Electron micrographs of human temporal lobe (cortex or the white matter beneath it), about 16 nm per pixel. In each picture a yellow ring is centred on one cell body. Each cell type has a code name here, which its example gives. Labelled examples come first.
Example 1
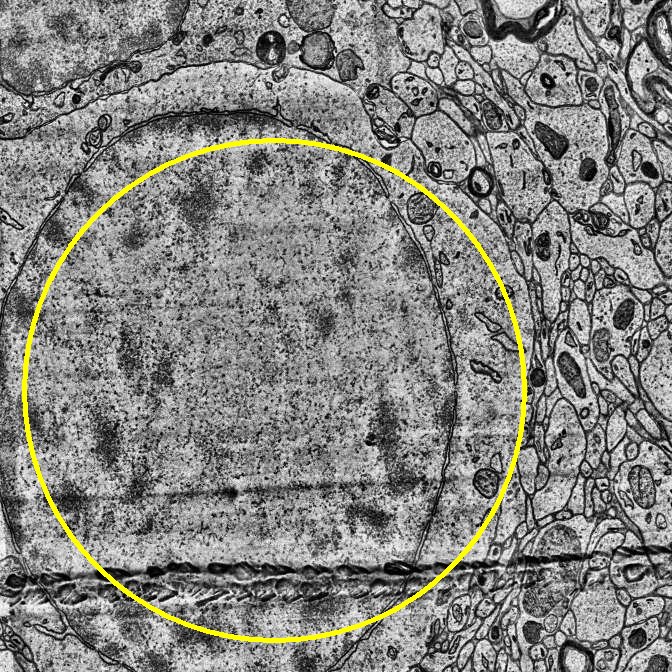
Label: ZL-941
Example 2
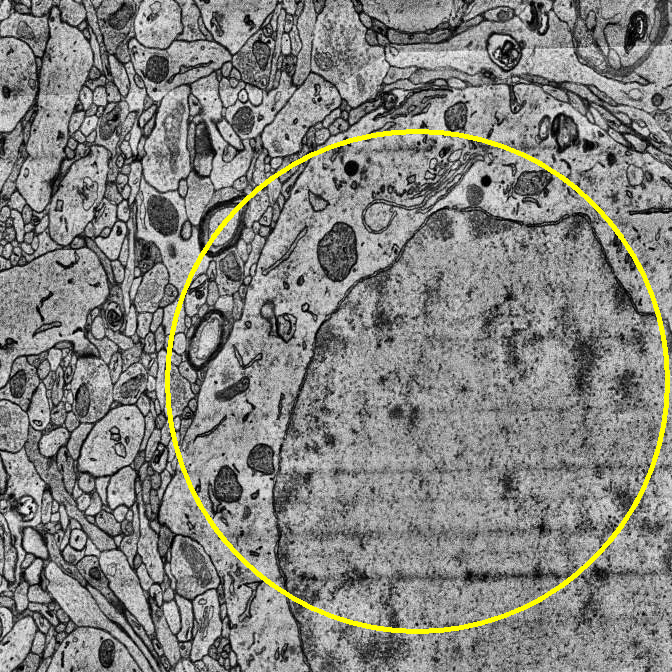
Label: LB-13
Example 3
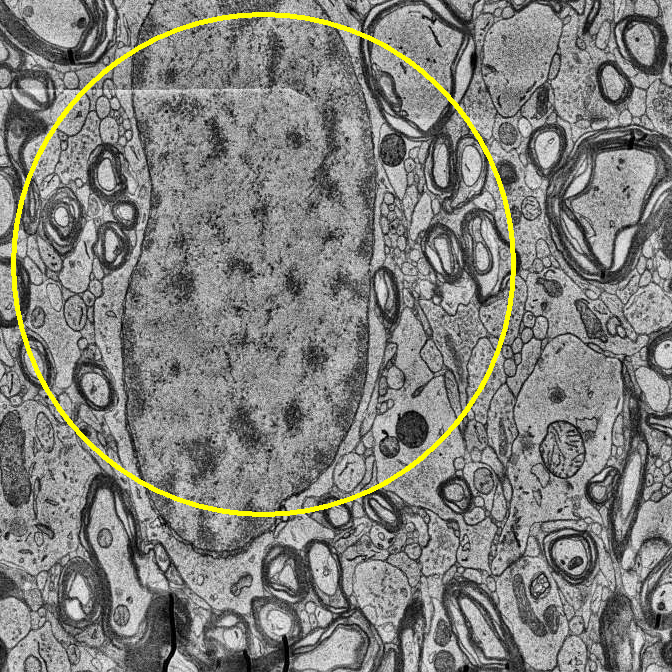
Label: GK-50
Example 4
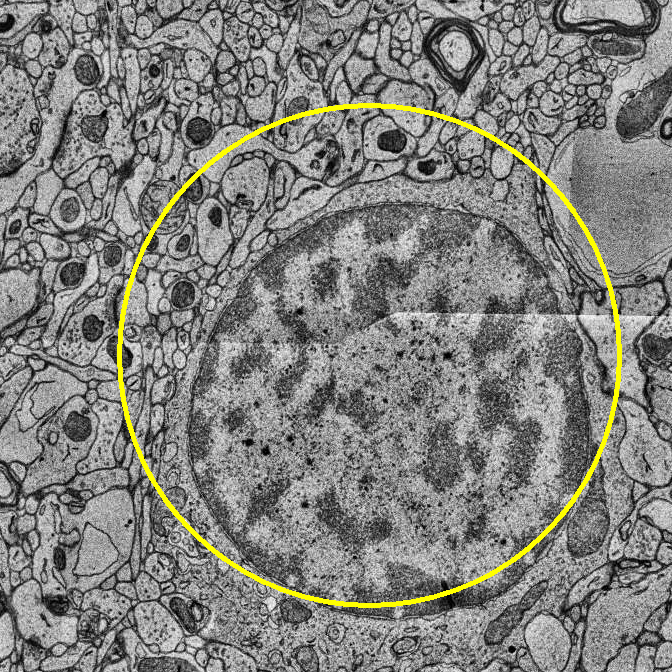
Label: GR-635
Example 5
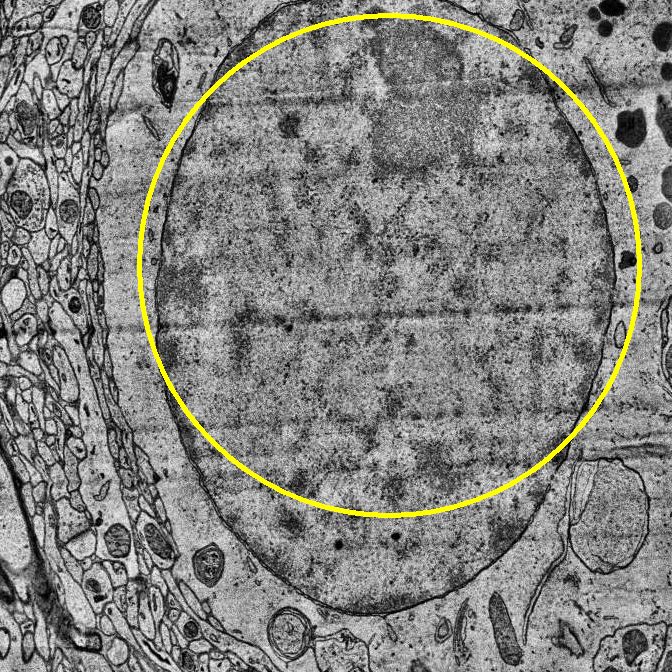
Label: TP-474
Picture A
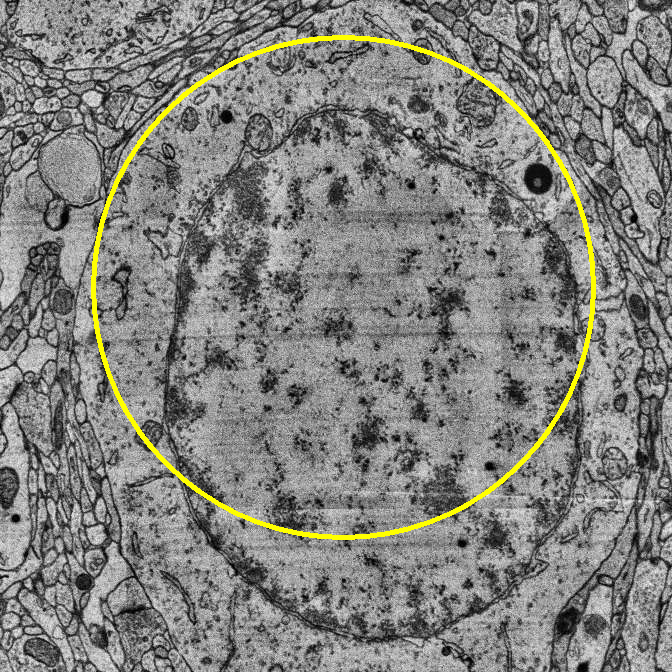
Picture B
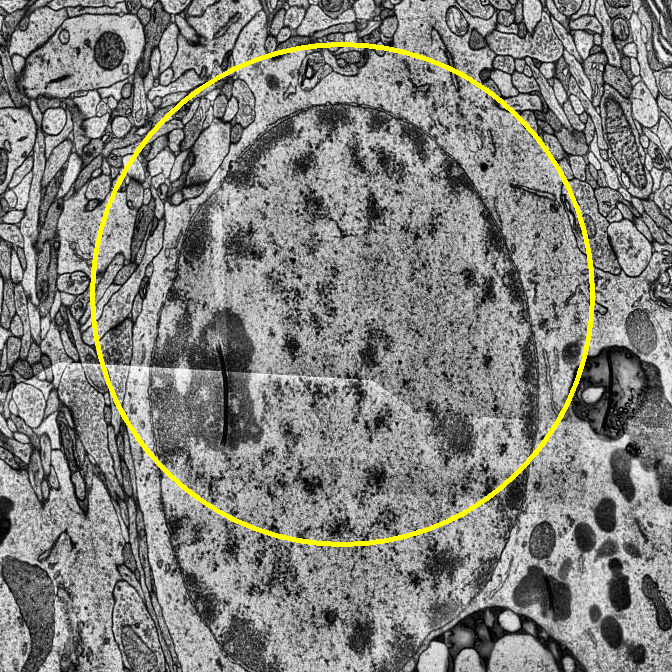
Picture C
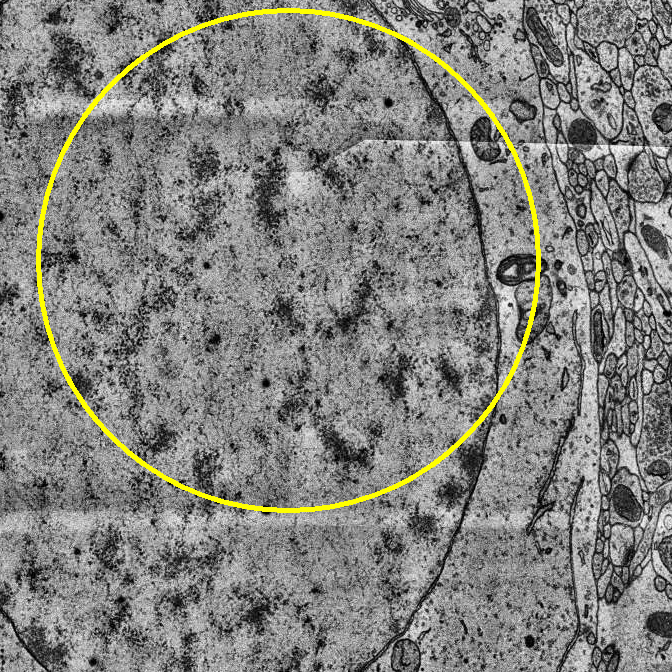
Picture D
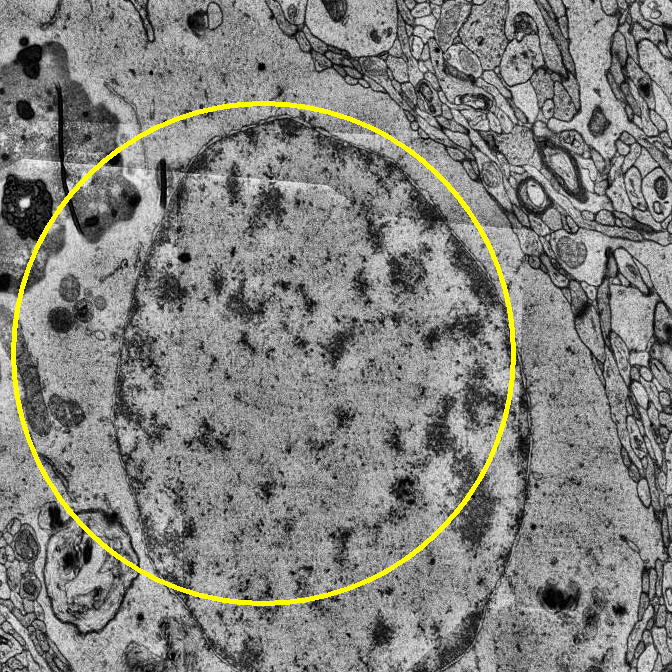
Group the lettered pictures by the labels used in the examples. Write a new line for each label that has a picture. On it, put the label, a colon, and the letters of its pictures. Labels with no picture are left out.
LB-13: A, C
TP-474: B, D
